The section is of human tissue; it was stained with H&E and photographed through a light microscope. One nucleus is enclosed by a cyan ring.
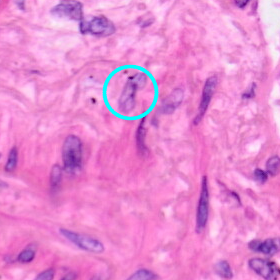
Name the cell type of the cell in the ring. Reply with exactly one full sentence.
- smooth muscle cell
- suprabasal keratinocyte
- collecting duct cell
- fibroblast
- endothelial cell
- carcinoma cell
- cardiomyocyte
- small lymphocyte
Labelled by cell type, the cell in the ring is a fibroblast.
